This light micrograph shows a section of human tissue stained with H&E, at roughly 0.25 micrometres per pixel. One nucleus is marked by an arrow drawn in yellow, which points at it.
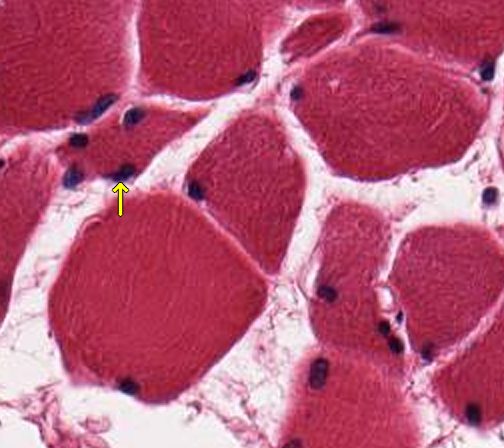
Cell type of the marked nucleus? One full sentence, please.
The mark falls on a nucleus belonging to a skeletal muscle fibre.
